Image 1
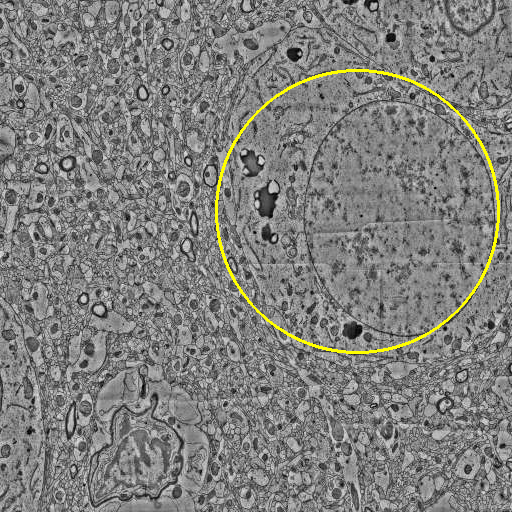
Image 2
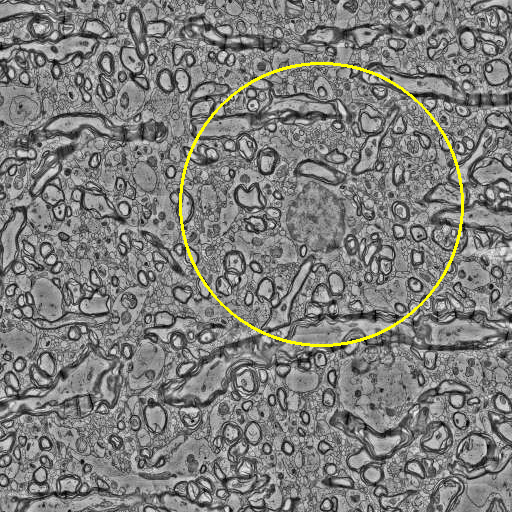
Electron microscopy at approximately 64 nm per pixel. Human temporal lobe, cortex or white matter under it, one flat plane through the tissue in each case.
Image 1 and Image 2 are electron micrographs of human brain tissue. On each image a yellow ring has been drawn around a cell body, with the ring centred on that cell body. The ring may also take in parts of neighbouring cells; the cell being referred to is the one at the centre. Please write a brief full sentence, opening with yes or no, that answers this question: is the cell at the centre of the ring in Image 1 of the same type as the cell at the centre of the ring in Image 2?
No, the two cells are of two types.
